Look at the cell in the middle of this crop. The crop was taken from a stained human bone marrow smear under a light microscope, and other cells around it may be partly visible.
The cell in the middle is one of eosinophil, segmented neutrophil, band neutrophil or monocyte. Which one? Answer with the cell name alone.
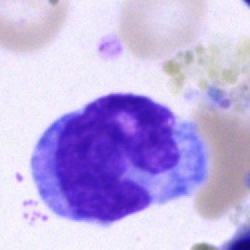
monocyte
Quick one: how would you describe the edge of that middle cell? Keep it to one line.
Nothing juts out from the margin, which is smooth throughout.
